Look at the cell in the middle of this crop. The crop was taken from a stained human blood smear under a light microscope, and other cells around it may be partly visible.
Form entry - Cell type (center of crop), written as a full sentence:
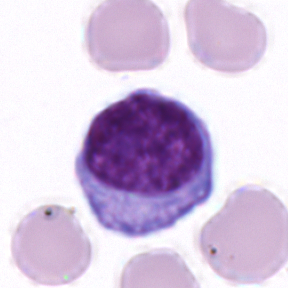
The identification for the central cell is a plasma cell.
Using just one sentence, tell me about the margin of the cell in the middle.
Smooth outline, no projections: that is the whole story of its edge.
